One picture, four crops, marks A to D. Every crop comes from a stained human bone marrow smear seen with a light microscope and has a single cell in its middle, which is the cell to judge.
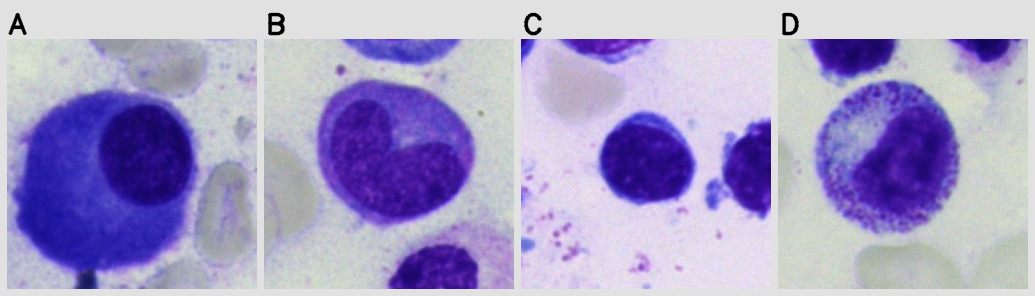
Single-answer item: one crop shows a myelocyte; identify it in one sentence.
Crop D, of the crops presented, is the one showing a myelocyte.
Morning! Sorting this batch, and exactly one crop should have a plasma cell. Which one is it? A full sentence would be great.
On review of the set, crop A is the one showing a plasma cell.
